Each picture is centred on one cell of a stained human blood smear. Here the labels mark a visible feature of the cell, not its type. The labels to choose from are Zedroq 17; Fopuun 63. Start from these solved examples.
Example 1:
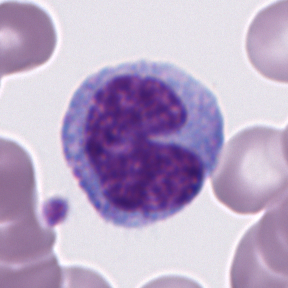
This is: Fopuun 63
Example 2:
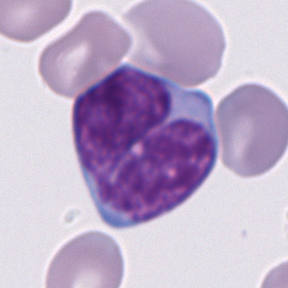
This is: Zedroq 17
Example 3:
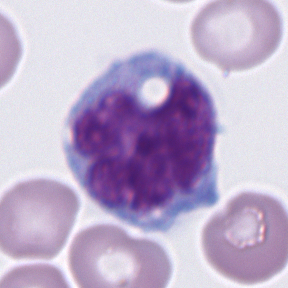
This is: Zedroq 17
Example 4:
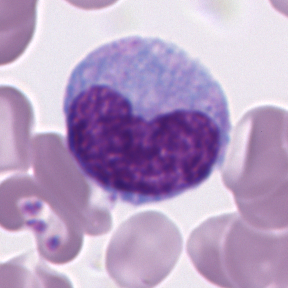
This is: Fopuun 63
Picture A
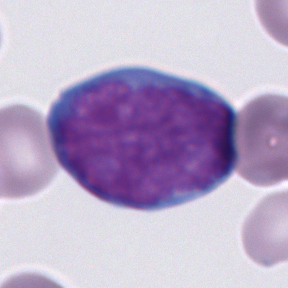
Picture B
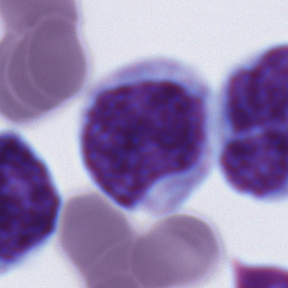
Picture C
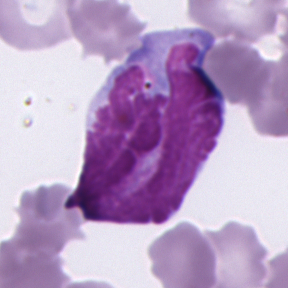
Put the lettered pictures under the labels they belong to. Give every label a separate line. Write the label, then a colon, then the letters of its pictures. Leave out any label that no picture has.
Zedroq 17: C
Fopuun 63: A, B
